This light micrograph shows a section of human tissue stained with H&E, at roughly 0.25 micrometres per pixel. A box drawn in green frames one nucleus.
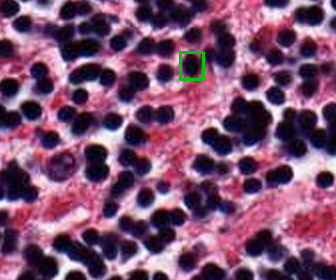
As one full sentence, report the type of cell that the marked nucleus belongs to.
The cell bearing the marked nucleus is a cerebellar granule cell.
